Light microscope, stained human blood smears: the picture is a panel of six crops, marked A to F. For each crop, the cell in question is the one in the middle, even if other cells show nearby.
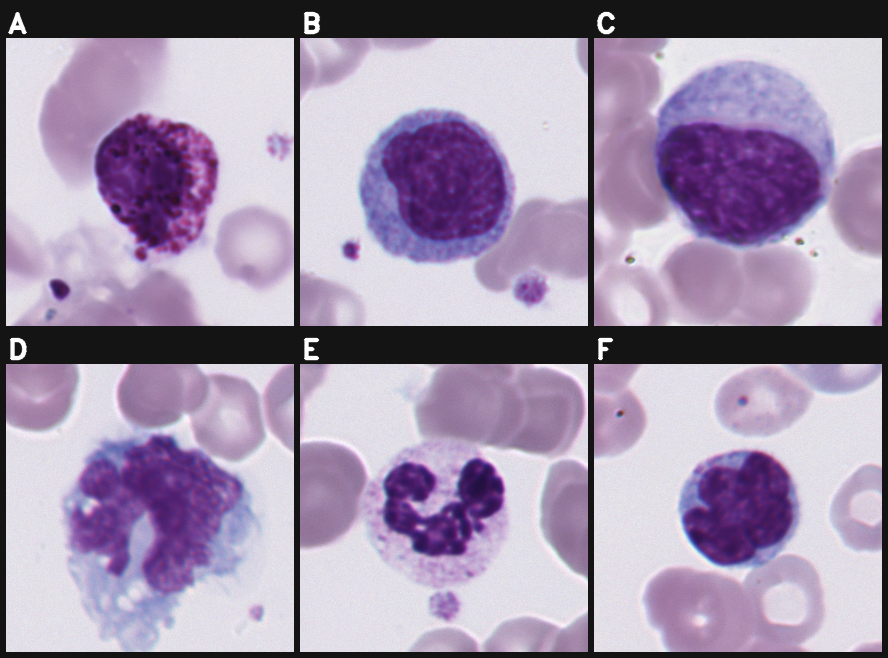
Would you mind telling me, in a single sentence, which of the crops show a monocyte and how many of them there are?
In total, two crops show monocytes, namely crops B and D.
